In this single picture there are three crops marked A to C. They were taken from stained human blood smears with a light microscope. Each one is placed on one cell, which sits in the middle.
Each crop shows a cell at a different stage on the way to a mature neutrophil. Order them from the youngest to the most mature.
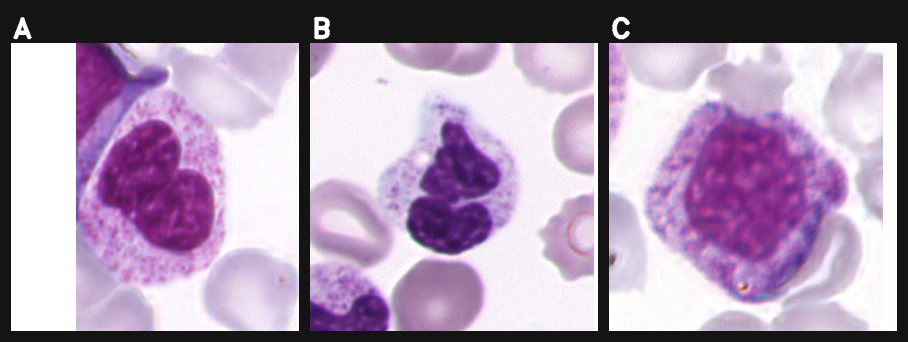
C, A, B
